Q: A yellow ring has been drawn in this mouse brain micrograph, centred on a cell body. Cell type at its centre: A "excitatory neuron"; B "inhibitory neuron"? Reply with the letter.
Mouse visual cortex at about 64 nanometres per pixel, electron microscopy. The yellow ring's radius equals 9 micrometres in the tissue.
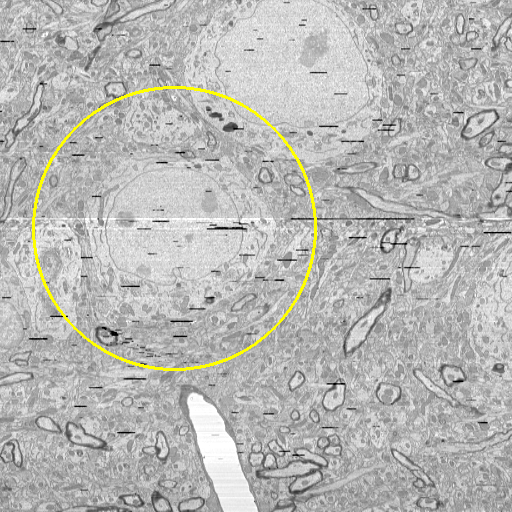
A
